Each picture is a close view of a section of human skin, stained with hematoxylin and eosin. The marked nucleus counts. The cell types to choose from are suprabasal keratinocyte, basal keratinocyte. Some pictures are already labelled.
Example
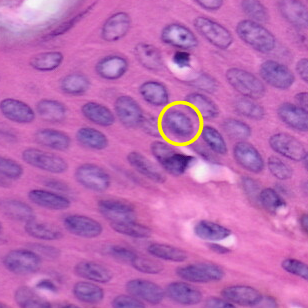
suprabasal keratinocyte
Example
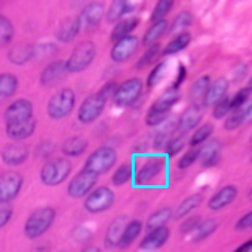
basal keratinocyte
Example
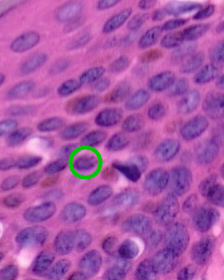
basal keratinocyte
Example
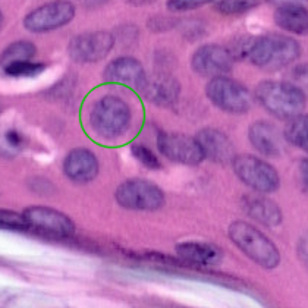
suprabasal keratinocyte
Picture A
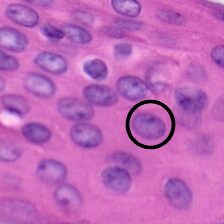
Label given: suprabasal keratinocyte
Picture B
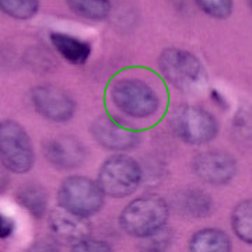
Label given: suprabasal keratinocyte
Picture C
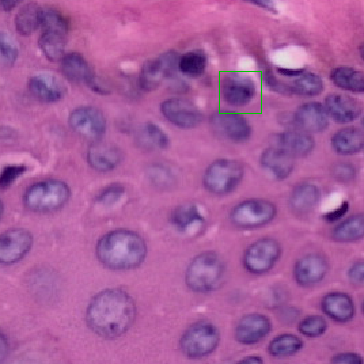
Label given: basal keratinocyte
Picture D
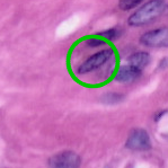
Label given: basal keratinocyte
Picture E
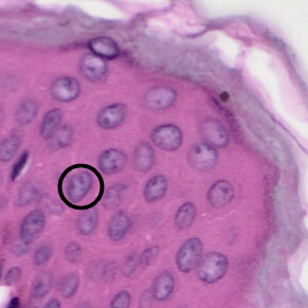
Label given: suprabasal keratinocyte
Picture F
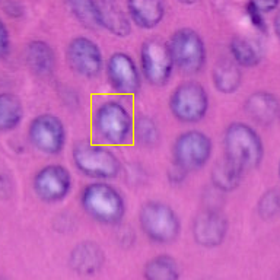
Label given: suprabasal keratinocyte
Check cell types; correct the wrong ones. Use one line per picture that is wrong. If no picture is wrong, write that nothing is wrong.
None of the labels needs changing.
